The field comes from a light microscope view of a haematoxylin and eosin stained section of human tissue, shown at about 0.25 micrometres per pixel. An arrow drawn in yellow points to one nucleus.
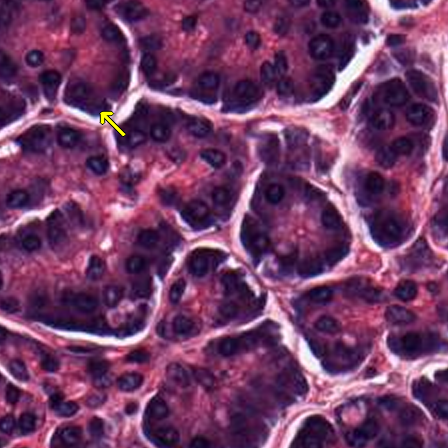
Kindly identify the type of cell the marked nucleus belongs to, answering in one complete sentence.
The owner of the marked nucleus is a pancreatic acinar cell.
